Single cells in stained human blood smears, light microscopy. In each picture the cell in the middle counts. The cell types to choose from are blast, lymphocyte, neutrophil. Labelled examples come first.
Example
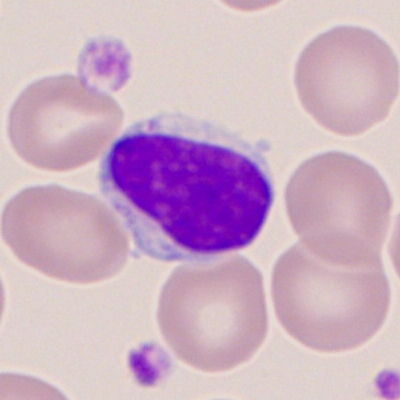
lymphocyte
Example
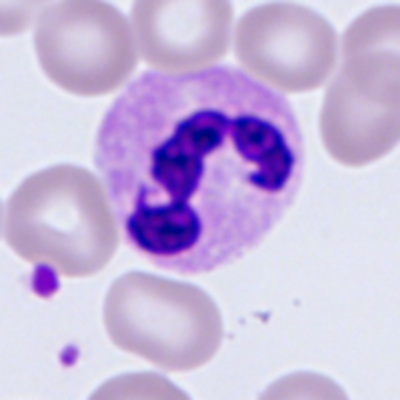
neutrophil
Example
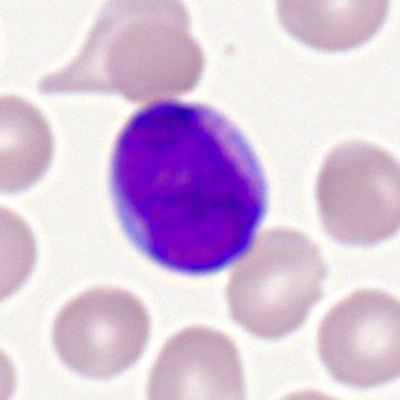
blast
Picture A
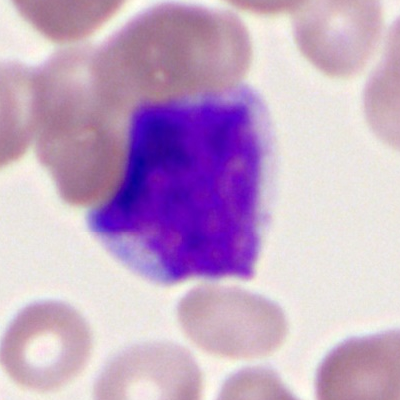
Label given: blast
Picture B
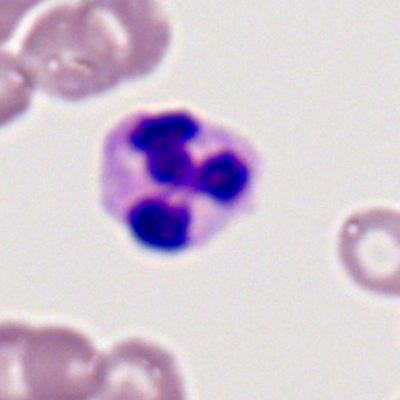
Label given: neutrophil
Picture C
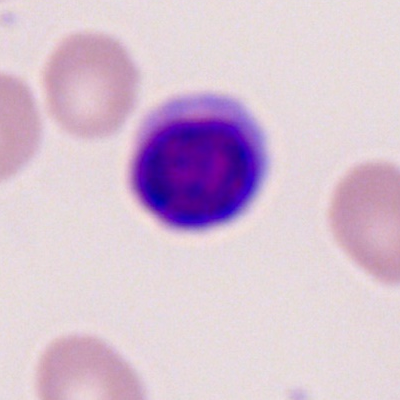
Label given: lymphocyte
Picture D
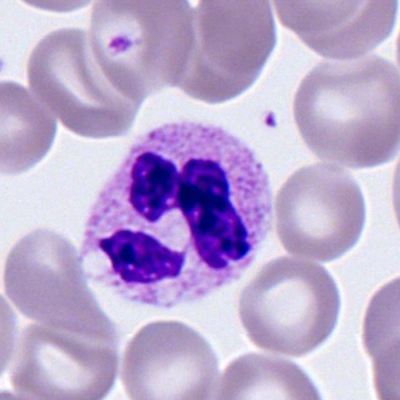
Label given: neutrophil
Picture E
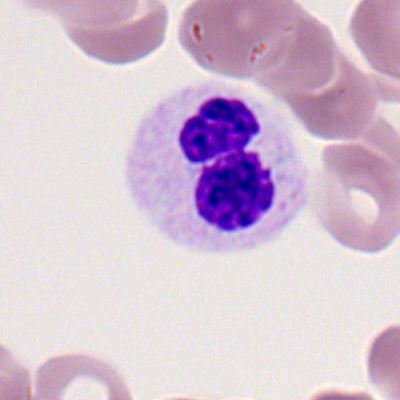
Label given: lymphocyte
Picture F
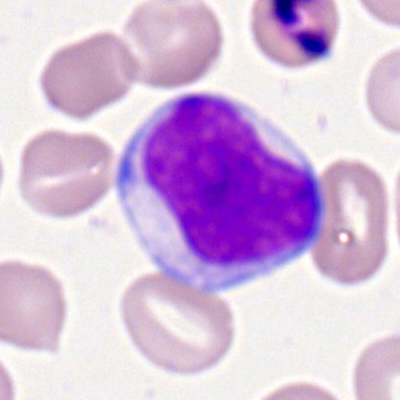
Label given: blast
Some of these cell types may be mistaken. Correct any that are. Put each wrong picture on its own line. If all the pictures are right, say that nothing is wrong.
E: change lymphocyte to neutrophil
